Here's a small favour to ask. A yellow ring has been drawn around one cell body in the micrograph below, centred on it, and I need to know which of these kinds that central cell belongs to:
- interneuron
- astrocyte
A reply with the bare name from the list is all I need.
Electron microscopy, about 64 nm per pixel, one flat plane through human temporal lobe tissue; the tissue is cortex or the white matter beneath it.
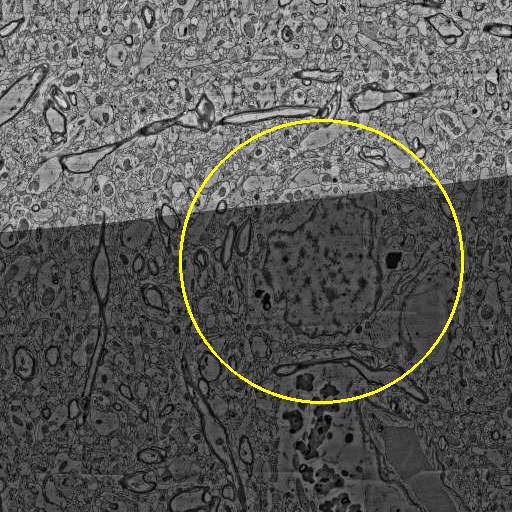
interneuron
